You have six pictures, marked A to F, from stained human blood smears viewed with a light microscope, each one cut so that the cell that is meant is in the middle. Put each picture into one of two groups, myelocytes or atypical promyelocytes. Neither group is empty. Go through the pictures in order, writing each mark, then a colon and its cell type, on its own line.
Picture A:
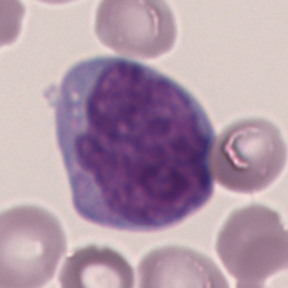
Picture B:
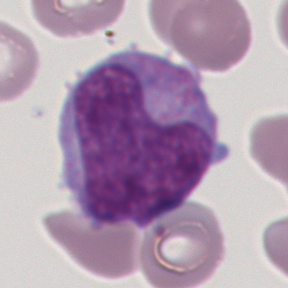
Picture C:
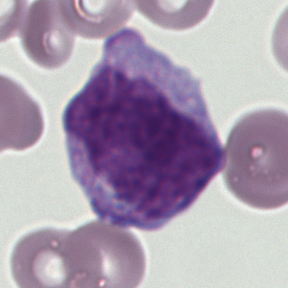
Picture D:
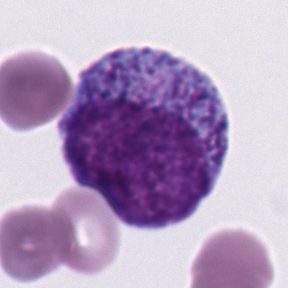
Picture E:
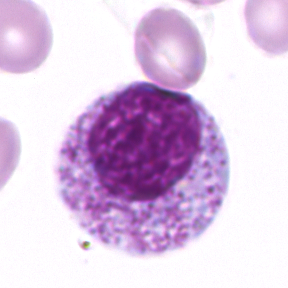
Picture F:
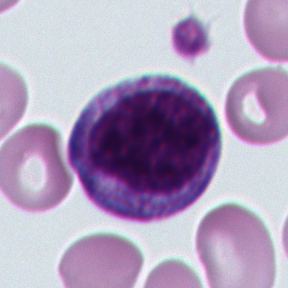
A: atypical promyelocyte
B: atypical promyelocyte
C: atypical promyelocyte
D: myelocyte
E: myelocyte
F: myelocyte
